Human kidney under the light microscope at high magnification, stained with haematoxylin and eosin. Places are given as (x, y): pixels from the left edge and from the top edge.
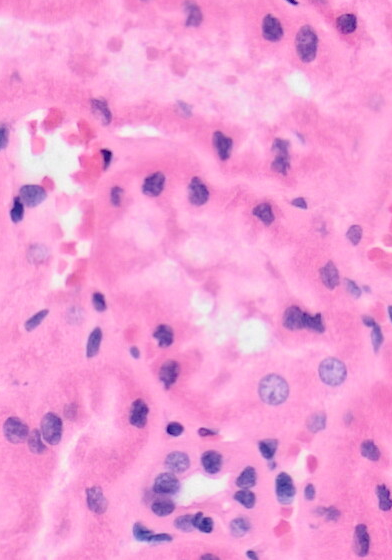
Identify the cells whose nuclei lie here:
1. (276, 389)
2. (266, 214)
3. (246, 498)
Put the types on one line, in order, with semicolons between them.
proximal tubule cell; proximal tubule cell; collecting duct cell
